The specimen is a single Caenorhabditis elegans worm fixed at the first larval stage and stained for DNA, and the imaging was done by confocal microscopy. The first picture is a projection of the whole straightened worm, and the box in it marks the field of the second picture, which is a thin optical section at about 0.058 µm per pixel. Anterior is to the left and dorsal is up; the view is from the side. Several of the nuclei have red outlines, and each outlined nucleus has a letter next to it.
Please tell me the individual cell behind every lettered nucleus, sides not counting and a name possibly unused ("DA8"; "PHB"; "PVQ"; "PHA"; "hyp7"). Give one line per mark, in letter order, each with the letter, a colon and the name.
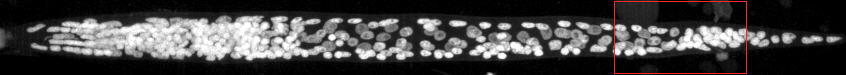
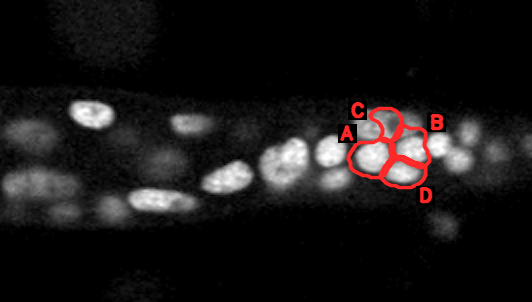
A: PVQ
B: PHB
C: hyp7
D: PHA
